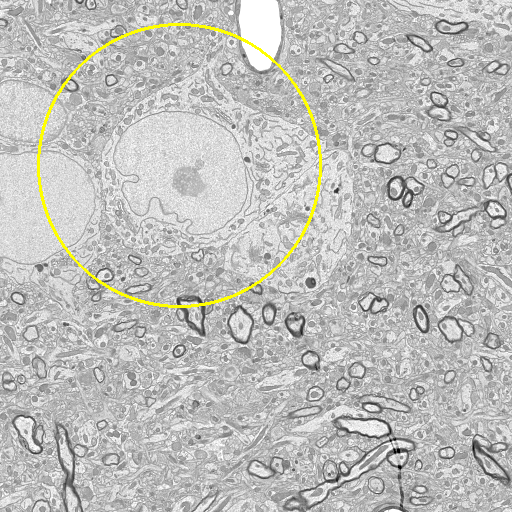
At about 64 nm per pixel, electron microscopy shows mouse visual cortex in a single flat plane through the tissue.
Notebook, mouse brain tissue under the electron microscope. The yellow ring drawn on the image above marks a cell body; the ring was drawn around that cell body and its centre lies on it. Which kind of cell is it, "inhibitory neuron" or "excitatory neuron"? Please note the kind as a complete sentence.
The marked cell body is that of an inhibitory neuron.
